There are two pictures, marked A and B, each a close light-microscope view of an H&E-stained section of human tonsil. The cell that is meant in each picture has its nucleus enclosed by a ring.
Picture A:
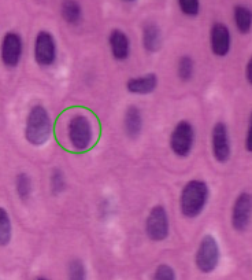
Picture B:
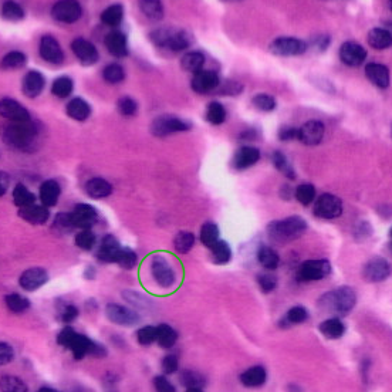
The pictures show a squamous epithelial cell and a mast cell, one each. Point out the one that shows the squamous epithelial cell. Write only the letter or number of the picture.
A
